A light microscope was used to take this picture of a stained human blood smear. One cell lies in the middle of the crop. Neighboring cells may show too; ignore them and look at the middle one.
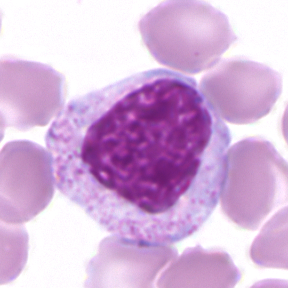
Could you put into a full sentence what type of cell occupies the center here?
The center cell of this crop is a metamyelocyte.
